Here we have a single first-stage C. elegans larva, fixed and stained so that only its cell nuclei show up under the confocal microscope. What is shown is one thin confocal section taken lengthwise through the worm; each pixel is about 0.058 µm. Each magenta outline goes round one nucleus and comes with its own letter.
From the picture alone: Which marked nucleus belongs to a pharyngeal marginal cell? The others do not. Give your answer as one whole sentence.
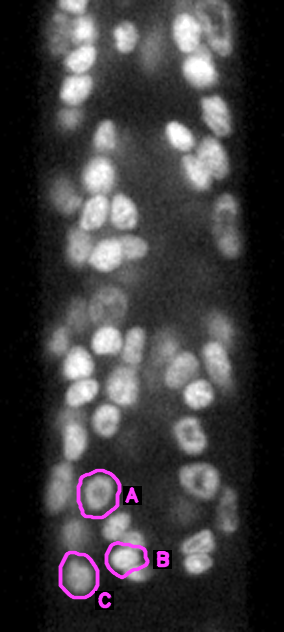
A is from a pharyngeal marginal cell.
